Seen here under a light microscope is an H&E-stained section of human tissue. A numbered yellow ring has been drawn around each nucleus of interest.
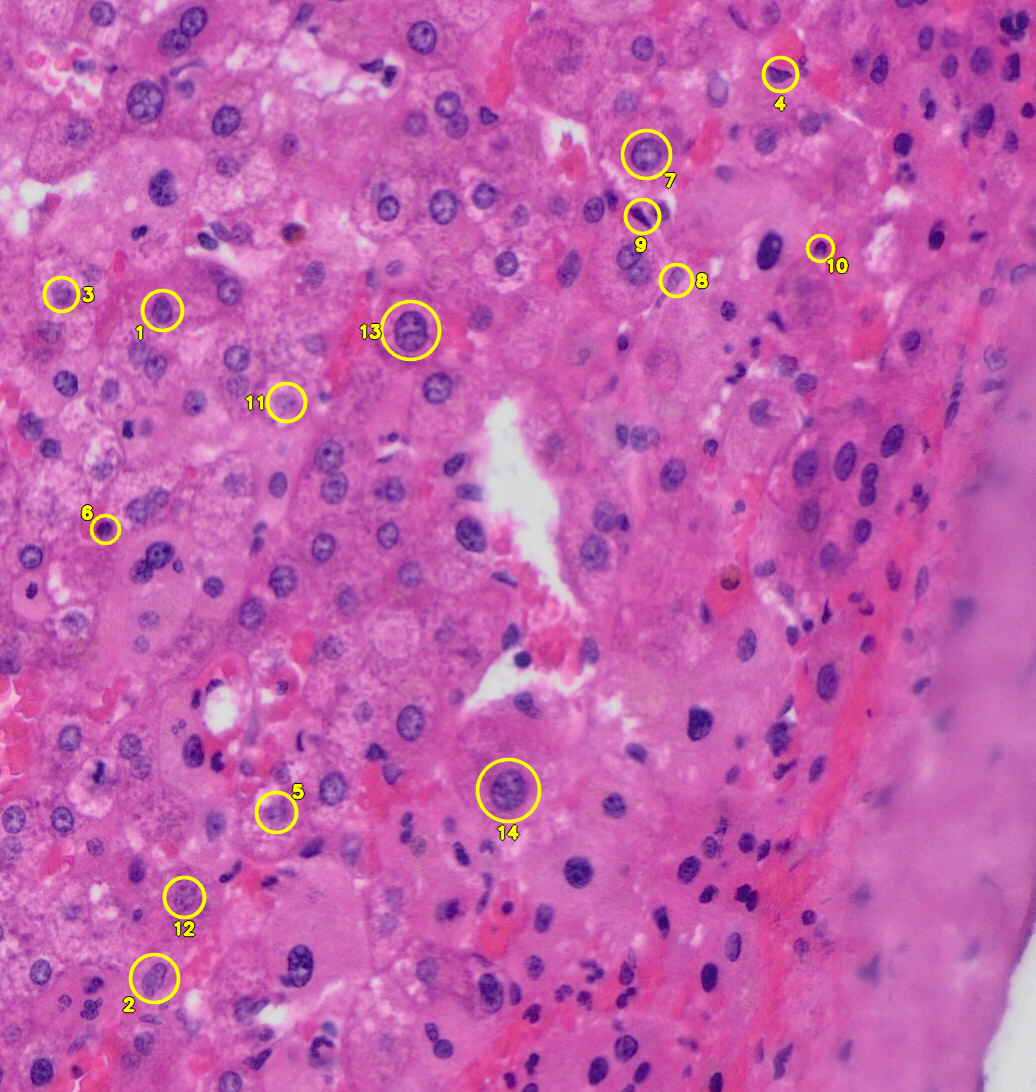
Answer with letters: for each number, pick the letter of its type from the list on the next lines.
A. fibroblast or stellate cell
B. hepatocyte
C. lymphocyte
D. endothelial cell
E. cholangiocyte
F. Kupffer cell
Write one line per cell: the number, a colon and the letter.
1: B
2: F
3: B
4: A
5: B
6: C
7: B
8: F
9: A
10: C
11: B
12: B
13: B
14: B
